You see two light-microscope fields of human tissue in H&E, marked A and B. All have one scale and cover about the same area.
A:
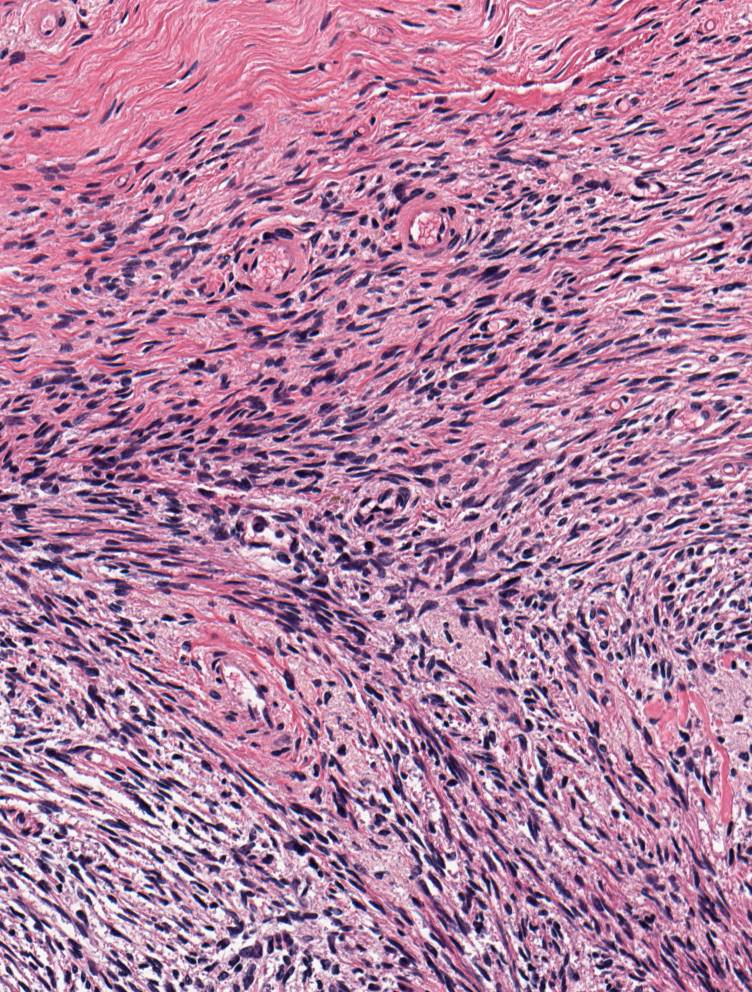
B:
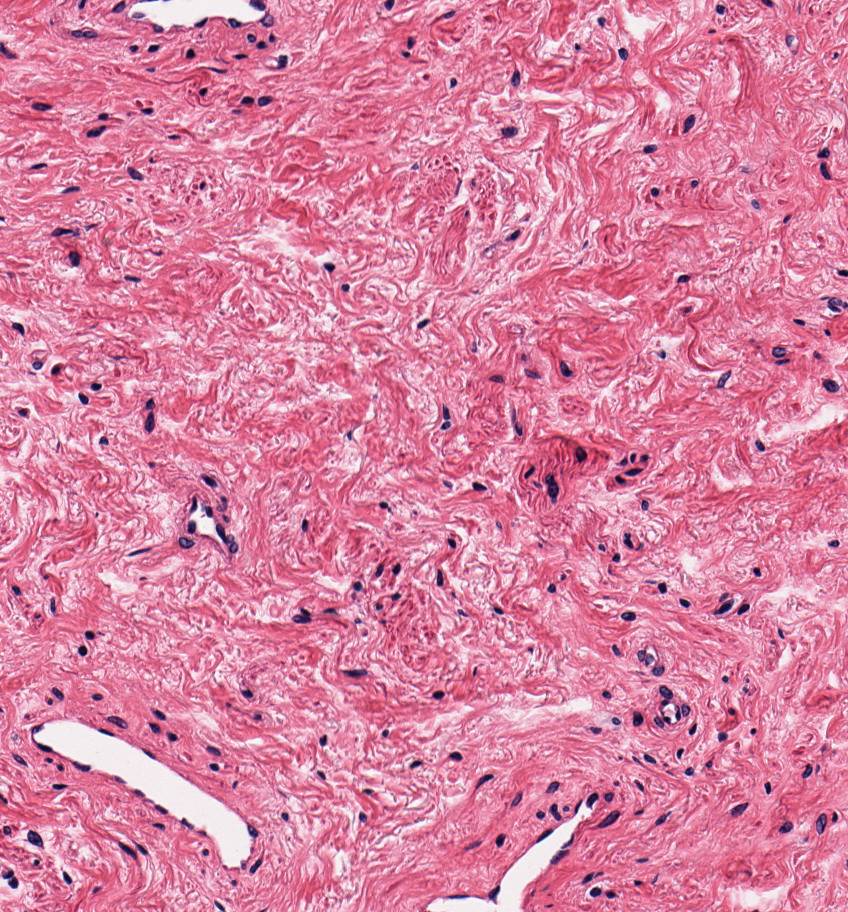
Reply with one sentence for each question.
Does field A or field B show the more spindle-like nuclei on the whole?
Longer, more slender nuclei lie in field A.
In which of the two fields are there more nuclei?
The larger number of nuclei is in field A.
